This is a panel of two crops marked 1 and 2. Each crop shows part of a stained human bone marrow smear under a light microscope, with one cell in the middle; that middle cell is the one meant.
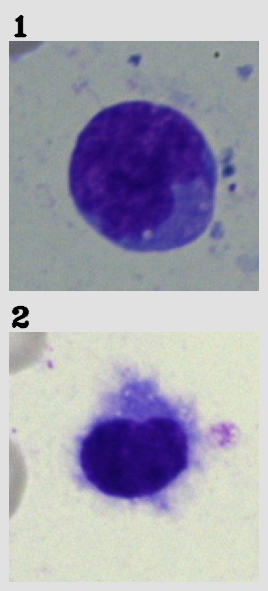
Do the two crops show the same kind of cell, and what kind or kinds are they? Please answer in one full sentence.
No, crop 1 shows a blast and crop 2 a hairy cell.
